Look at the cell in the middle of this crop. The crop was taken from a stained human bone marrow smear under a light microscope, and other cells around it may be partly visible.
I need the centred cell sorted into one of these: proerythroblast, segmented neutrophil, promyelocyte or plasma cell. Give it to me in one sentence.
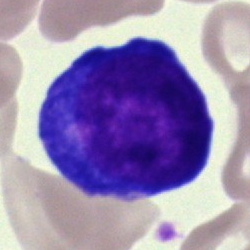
As for the central cell, it is a proerythroblast.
